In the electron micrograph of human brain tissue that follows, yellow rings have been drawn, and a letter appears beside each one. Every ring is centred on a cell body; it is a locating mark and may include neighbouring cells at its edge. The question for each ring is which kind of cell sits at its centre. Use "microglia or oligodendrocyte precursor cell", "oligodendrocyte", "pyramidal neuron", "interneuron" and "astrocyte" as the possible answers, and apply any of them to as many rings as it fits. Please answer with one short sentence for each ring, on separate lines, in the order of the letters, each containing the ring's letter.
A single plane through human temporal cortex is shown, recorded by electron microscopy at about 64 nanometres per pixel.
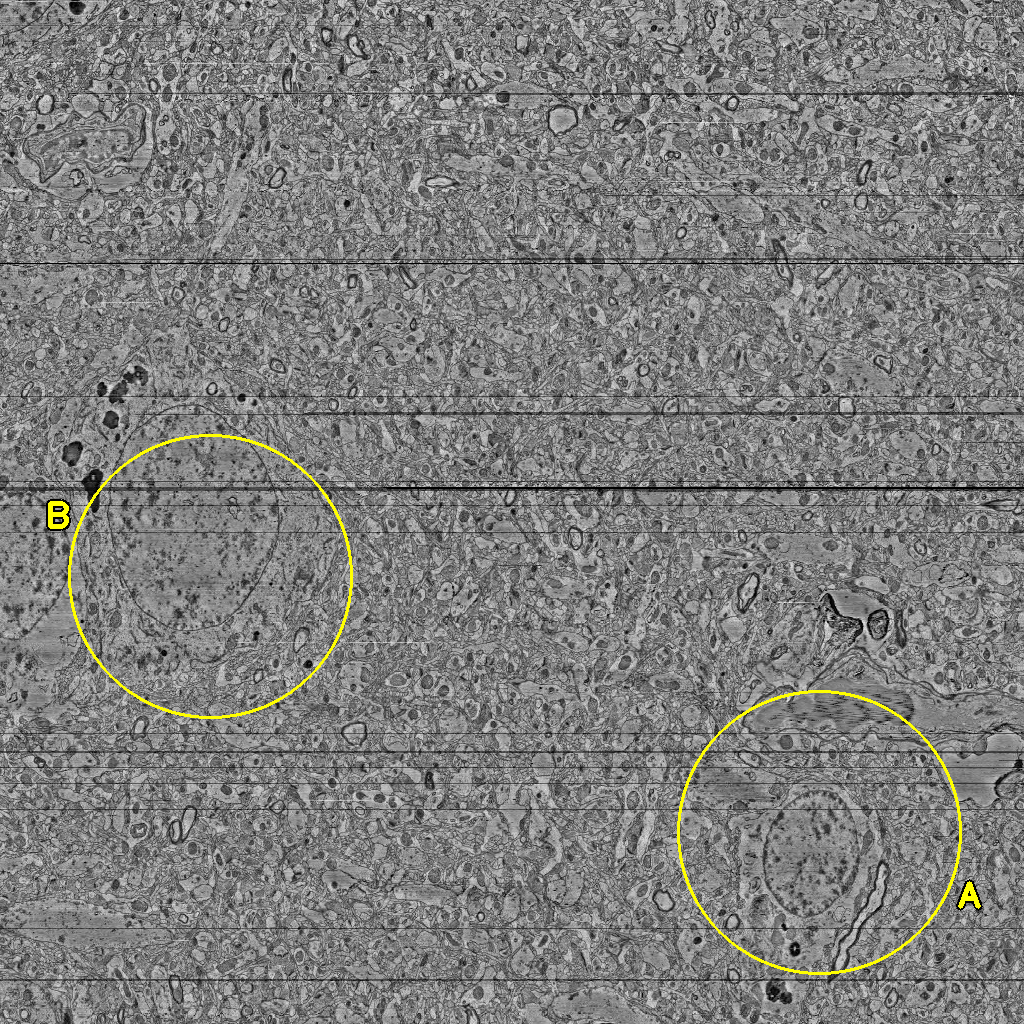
Sitting at the centre of ring A is an astrocyte.
Sitting at the centre of ring B is a pyramidal neuron.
